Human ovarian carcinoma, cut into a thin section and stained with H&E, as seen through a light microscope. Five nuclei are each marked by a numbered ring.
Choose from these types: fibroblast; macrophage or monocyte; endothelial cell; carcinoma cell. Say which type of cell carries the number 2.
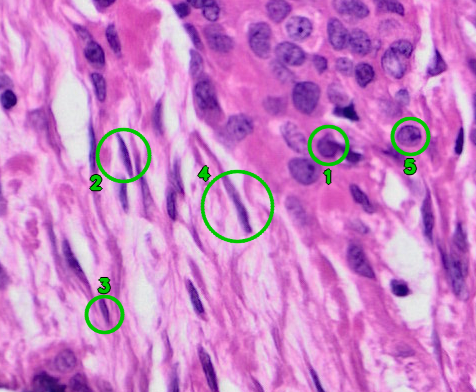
fibroblast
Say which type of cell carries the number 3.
fibroblast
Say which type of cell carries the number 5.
macrophage or monocyte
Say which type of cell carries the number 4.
fibroblast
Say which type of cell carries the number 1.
carcinoma cell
